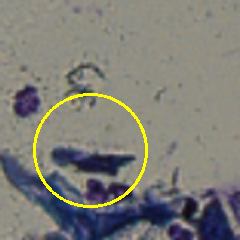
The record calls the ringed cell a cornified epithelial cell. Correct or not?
Correct; it is a cornified epithelial cell.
